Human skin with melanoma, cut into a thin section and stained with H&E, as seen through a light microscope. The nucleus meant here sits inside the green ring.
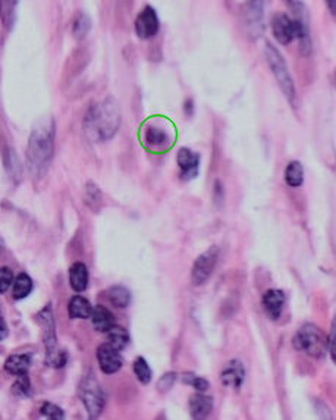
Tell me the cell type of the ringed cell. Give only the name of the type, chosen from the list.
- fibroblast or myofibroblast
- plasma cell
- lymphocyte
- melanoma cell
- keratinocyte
plasma cell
